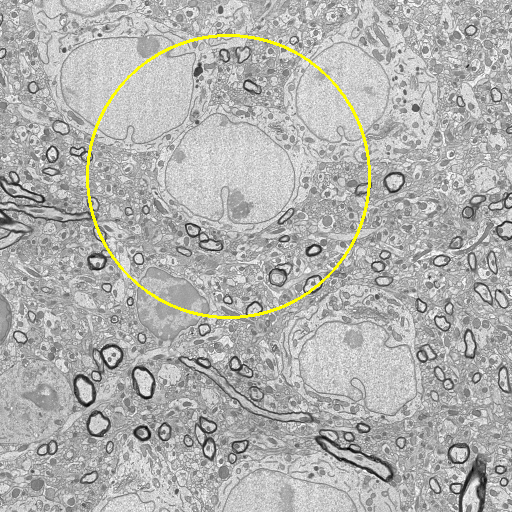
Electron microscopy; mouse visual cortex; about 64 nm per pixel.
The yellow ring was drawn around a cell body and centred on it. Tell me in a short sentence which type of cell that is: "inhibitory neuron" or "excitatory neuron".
The cell at the ring's centre is an excitatory neuron.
